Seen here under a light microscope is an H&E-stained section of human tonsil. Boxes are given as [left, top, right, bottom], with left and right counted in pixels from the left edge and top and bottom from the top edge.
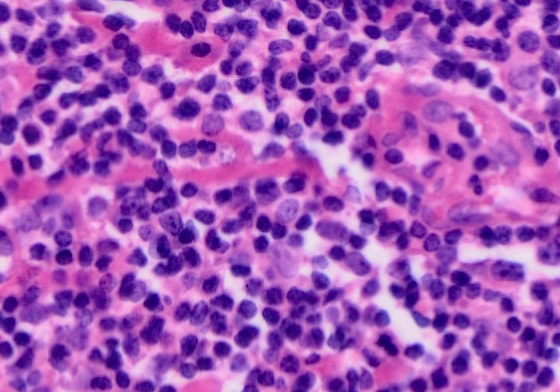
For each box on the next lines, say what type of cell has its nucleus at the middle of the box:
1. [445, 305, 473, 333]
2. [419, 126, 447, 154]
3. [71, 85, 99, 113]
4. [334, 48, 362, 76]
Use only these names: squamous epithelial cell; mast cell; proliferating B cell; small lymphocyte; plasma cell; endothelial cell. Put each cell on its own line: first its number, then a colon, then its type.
1: small lymphocyte
2: endothelial cell
3: small lymphocyte
4: small lymphocyte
